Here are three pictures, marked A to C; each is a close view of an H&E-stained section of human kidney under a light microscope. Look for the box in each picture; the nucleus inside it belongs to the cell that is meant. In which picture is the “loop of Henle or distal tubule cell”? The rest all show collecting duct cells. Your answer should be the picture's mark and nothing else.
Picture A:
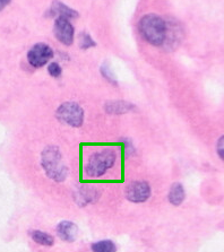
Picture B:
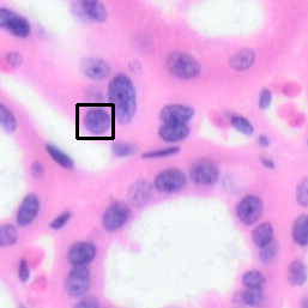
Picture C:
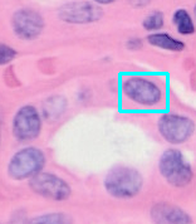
A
